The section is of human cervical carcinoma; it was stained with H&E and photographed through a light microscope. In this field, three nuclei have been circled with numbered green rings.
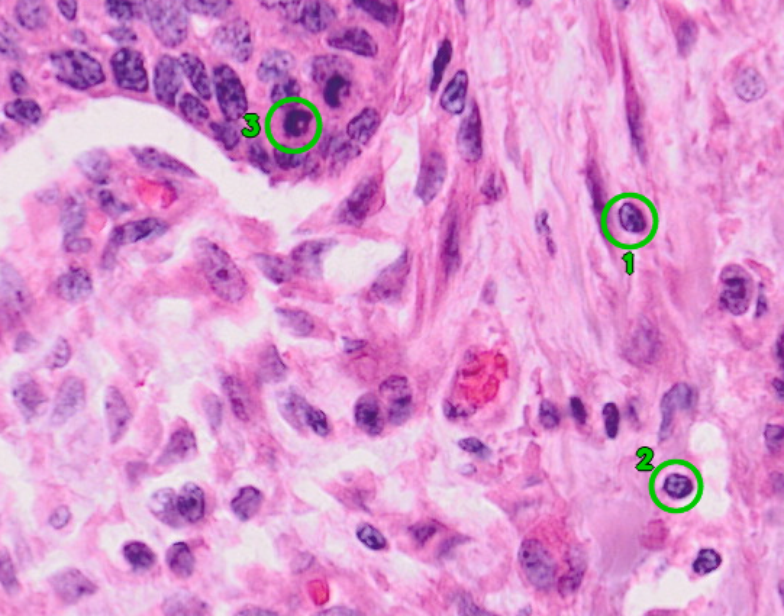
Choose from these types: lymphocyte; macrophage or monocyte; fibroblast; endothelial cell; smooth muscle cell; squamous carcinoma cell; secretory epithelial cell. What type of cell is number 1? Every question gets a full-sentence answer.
Cell 1, as marked in the section, is a lymphocyte.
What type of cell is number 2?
Recognised here as a lymphocyte is the cell numbered 2.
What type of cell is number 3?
Cell 3 in the field is a squamous carcinoma cell.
